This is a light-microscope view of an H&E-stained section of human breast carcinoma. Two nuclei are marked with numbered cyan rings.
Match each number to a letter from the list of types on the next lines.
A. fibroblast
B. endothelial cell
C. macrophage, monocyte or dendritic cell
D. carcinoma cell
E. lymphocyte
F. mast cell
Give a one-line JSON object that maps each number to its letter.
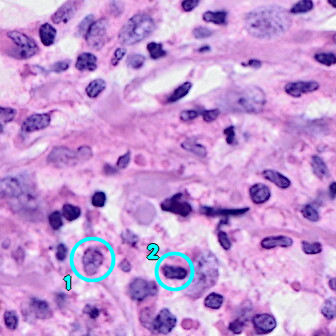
{"1": "C", "2": "E"}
